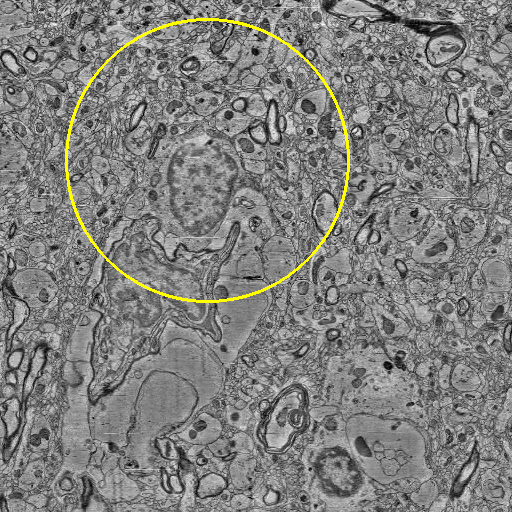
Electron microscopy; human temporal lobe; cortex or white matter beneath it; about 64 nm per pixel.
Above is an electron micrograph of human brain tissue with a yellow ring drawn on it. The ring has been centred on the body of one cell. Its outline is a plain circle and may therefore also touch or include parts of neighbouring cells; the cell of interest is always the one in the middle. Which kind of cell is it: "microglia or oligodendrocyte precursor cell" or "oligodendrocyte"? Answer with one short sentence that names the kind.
The ring's central cell body is that of an oligodendrocyte.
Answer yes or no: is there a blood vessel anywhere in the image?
Yes.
